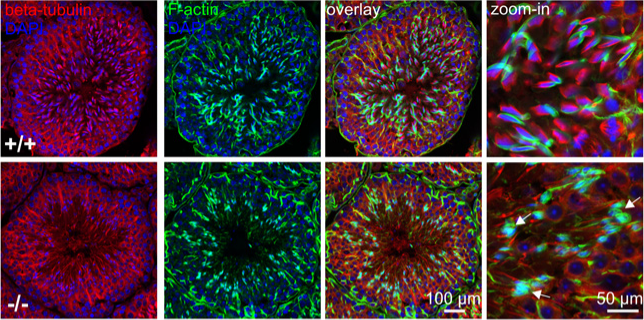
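Cross-sections of seminiferous tubules of the testis, each a round cord crowded with blue nuclei around a small central lumen. Red fills the cytoplasm as a fine network throughout the epithelium. Green strands run radially from the outer rim toward the lumen, and a thin green line edges the tubule. In the lower enlarged view the nuclei are rounder and the green gathers into irregular bright clumps, pointed out by white arrows, instead of neat caps.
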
